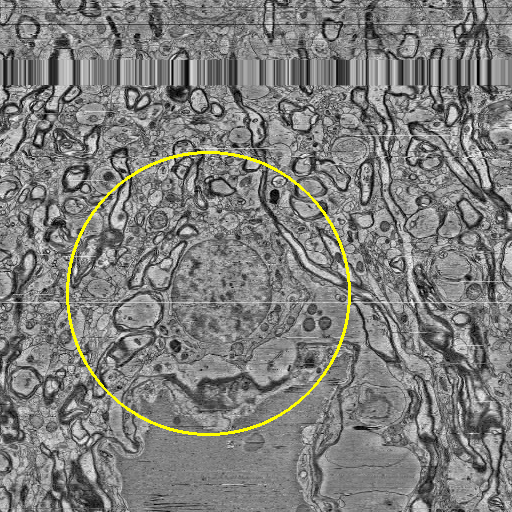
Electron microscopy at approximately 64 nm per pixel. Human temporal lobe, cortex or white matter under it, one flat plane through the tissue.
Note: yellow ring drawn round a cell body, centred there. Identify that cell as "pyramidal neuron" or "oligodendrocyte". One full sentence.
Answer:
The cell in the middle of the ring is an oligodendrocyte.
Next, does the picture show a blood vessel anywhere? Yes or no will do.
Yes, a blood vessel shows in the picture.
